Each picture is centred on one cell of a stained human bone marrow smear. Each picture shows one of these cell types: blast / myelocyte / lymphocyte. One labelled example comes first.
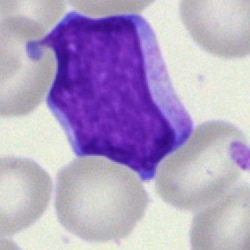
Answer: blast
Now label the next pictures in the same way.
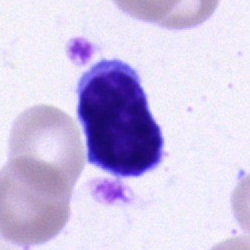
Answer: lymphocyte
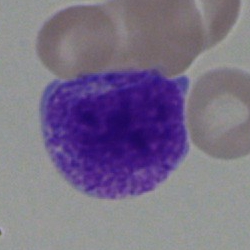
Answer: myelocyte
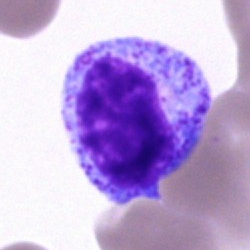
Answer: myelocyte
